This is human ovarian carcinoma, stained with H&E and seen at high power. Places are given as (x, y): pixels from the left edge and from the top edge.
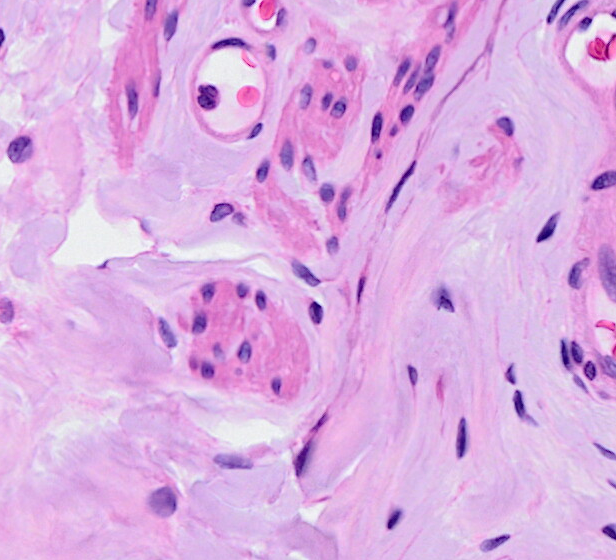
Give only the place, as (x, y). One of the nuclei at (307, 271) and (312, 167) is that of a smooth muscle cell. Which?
(312, 167)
